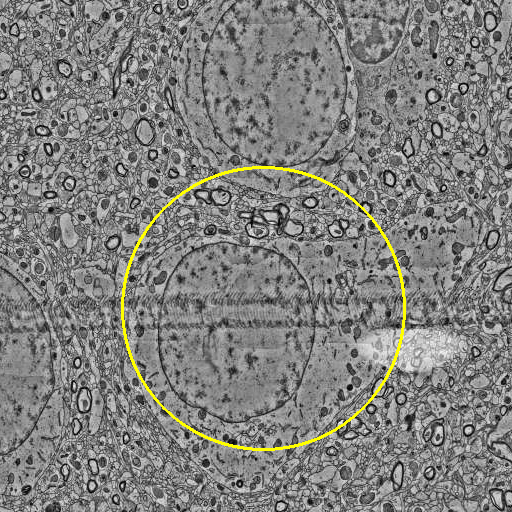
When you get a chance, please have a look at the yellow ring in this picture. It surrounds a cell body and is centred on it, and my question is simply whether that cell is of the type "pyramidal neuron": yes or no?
Yes, the cell is of that type.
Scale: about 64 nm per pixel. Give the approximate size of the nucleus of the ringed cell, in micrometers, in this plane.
Approximately 11 micrometers across in this plane.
